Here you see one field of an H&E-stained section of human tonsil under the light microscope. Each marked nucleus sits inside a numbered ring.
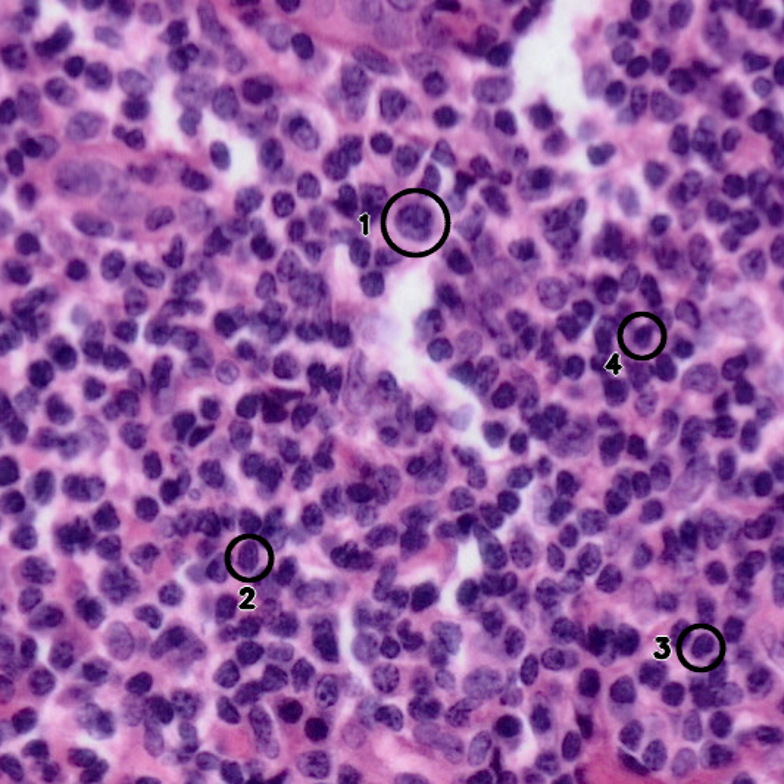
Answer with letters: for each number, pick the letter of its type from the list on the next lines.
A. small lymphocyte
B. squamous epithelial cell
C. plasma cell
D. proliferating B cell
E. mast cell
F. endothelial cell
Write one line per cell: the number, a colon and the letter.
1: D
2: A
3: A
4: A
